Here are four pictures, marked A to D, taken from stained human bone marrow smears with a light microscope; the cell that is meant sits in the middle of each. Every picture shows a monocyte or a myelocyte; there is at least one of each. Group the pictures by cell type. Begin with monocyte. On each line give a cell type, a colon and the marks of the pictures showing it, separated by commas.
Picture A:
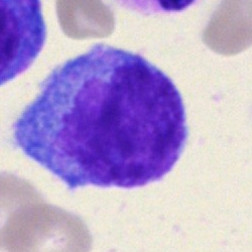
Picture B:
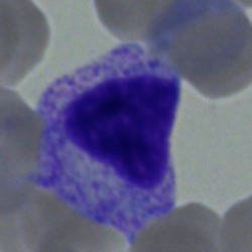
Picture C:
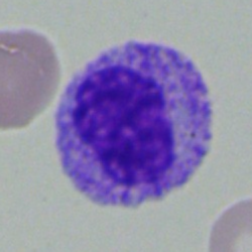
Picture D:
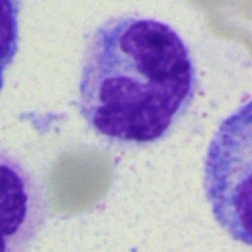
monocyte: A, D
myelocyte: B, C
